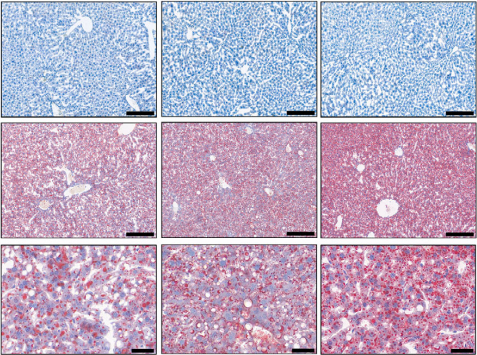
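In the top row the tissue is blue throughout, with almost no red. In the lower rows red deposits are spread widely through the tissue, and at higher magnification they appear as many small red droplets among the blue nuclei of the hepatocytes.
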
